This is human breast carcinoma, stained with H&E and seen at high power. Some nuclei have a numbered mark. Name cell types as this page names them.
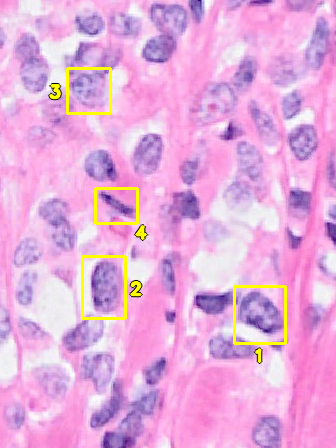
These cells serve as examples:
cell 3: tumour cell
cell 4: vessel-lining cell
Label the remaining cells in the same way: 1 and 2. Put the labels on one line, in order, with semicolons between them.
tumour cell; tumour cell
